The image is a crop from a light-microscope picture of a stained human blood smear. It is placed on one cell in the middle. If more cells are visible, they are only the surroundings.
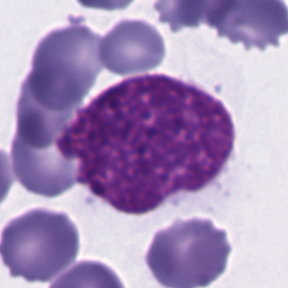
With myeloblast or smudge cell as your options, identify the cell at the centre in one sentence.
In the central position of this crop, the cell is a smudge cell.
